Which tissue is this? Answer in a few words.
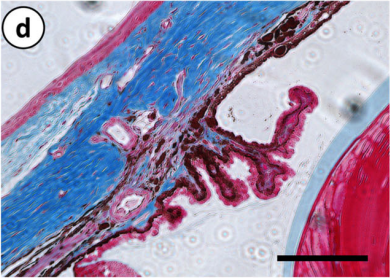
ciliary body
